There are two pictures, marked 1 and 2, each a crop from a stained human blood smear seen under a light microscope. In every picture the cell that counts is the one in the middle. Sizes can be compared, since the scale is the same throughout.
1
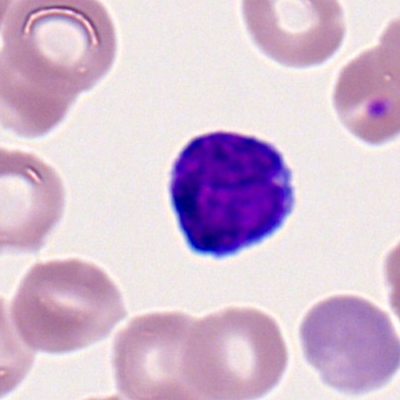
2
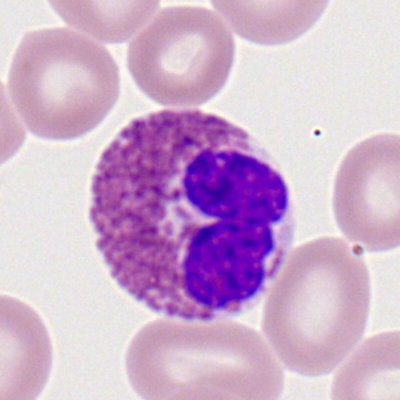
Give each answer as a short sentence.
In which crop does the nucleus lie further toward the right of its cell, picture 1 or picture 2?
In picture 2 the nucleus is shifted more toward the right.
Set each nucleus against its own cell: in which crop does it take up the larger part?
In picture 1 the nucleus takes up the larger part of its cell.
